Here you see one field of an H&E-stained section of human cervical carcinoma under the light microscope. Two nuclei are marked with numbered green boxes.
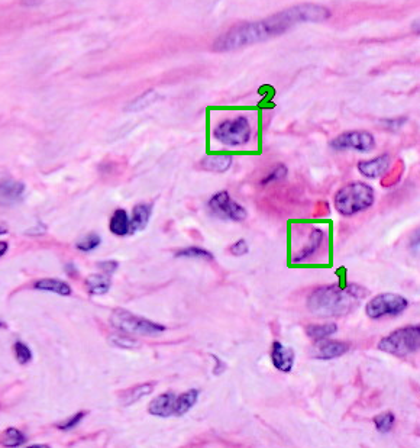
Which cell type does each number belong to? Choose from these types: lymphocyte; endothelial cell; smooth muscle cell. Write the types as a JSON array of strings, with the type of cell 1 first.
["endothelial cell", "lymphocyte"]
